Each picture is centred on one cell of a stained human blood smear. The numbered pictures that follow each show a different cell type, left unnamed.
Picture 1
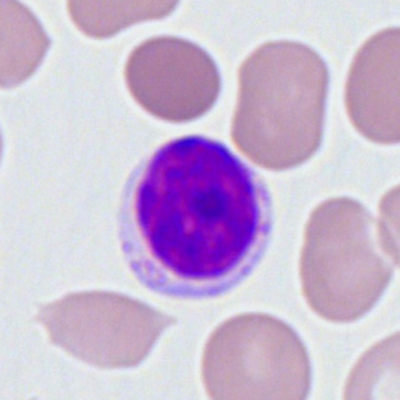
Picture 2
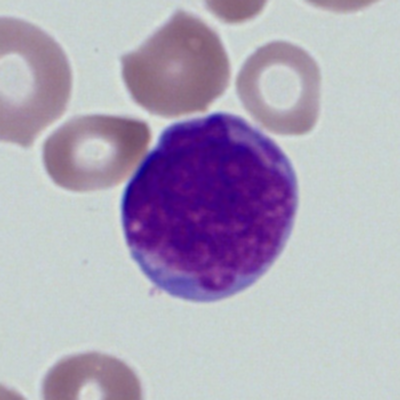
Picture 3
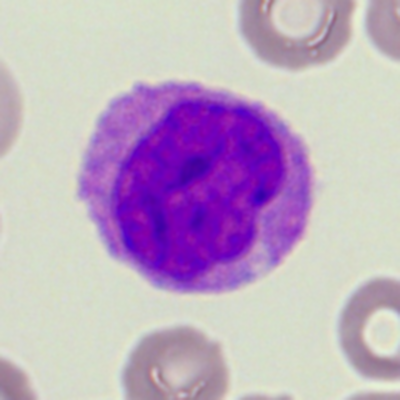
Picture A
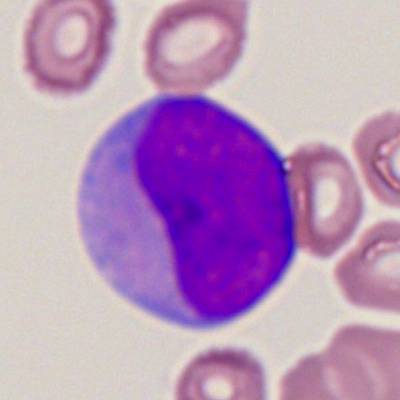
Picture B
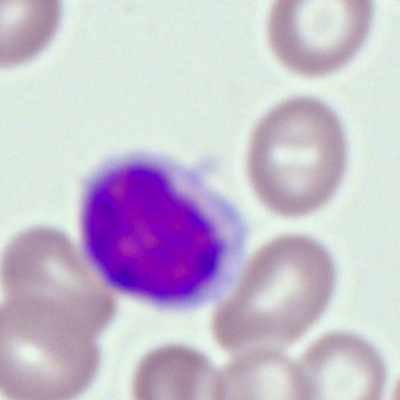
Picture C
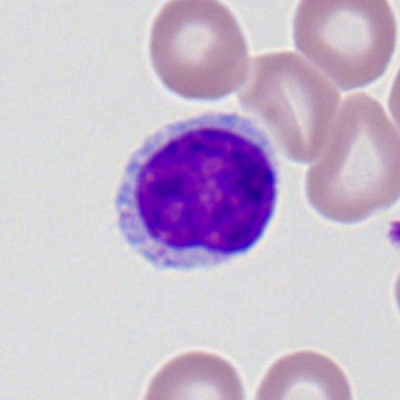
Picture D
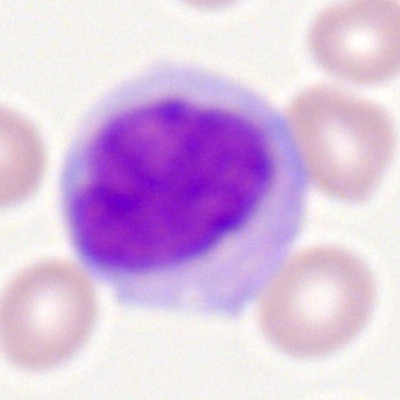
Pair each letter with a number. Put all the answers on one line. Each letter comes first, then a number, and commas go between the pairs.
A 2, B 1, C 1, D 3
